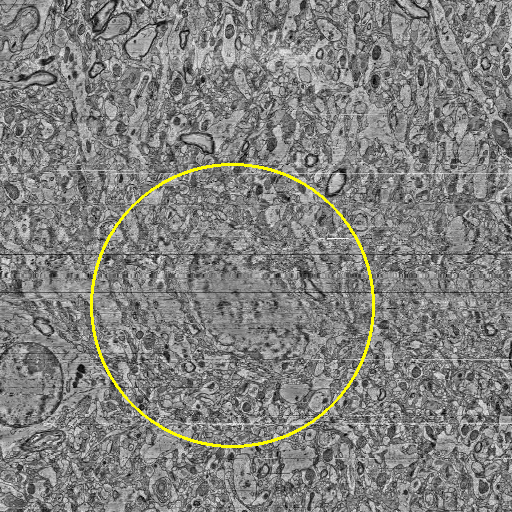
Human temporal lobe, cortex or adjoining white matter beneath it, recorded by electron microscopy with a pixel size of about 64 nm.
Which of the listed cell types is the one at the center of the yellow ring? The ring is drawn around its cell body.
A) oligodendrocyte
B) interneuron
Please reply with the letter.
B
